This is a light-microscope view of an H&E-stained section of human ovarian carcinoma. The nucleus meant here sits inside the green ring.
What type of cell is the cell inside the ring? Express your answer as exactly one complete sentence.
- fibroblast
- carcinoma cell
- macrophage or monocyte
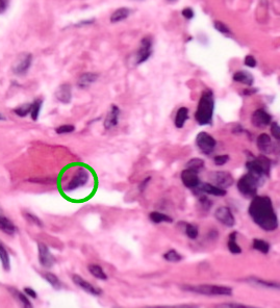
In the tissue under study, the cell inside the ring is a fibroblast.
